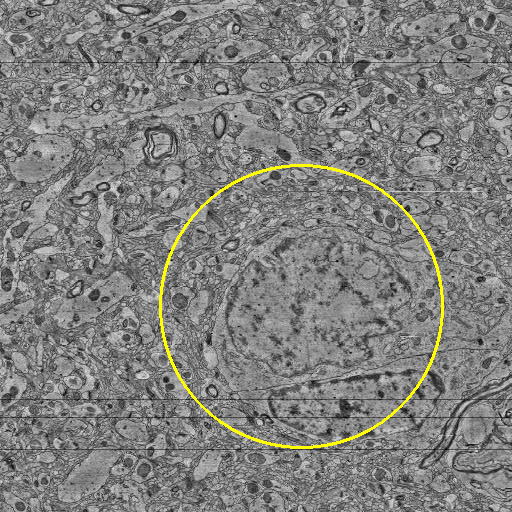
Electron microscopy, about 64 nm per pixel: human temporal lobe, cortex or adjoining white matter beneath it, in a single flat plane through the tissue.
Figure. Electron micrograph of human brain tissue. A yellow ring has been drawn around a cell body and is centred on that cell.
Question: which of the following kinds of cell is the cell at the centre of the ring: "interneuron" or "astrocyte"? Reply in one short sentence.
The cell at the centre of the ring is an interneuron.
